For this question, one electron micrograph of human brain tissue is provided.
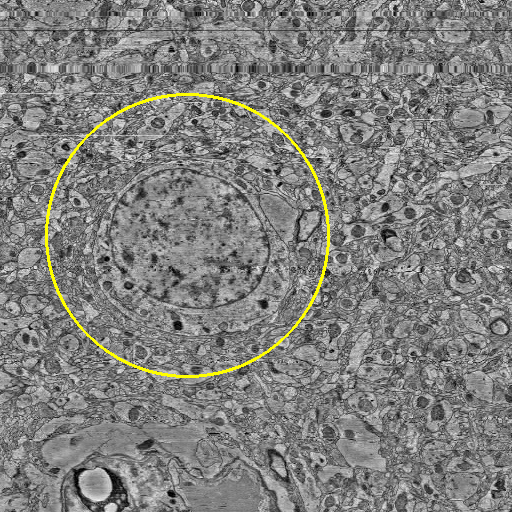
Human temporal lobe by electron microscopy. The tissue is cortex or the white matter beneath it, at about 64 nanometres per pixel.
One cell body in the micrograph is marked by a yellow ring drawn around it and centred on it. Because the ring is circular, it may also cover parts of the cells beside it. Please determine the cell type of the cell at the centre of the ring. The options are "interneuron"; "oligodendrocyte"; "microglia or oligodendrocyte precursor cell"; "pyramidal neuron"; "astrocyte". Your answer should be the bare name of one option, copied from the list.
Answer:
pyramidal neuron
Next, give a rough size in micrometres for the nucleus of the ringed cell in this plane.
About 10 micrometers across, in this plane.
